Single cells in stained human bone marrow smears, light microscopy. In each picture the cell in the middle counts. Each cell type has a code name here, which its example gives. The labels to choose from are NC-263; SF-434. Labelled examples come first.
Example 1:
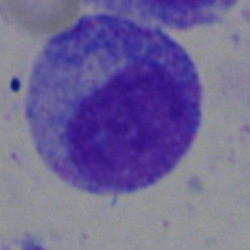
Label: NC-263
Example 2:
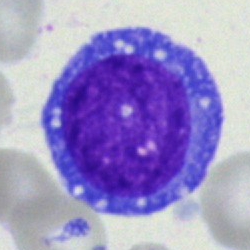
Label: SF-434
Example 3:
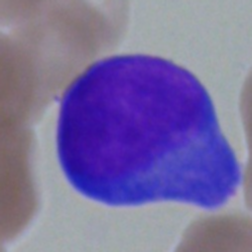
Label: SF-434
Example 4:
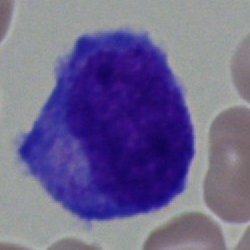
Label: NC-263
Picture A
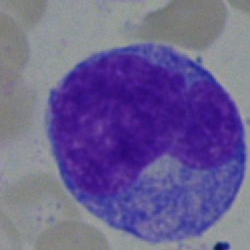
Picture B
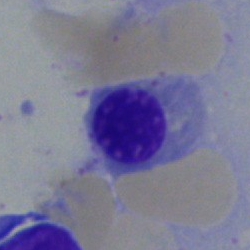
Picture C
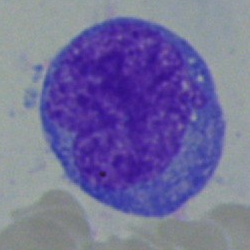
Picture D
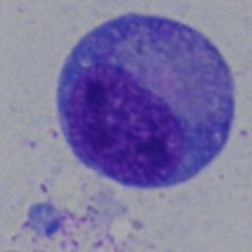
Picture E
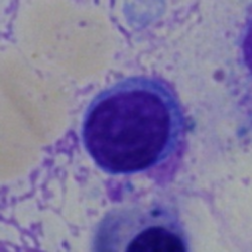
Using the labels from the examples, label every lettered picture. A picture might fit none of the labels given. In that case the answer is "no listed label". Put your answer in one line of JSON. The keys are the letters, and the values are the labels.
{"A": "NC-263", "B": "no listed label", "C": "SF-434", "D": "NC-263", "E": "no listed label"}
